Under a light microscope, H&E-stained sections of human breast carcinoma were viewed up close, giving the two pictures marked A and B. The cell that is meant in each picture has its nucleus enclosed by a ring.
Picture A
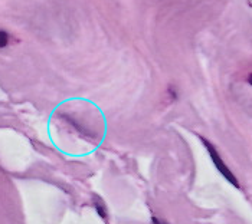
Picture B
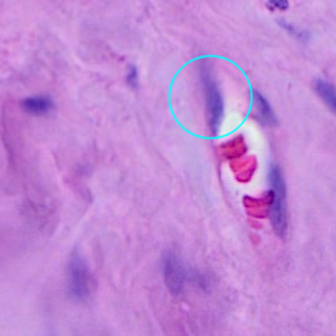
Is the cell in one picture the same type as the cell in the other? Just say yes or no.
no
